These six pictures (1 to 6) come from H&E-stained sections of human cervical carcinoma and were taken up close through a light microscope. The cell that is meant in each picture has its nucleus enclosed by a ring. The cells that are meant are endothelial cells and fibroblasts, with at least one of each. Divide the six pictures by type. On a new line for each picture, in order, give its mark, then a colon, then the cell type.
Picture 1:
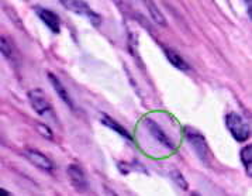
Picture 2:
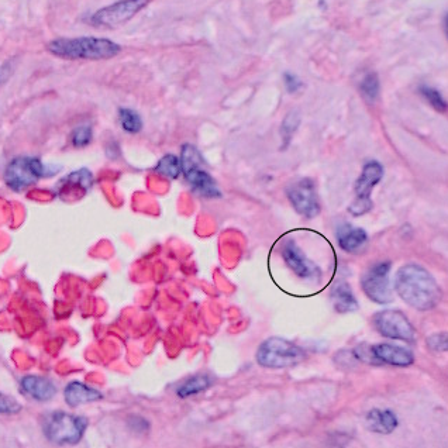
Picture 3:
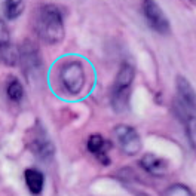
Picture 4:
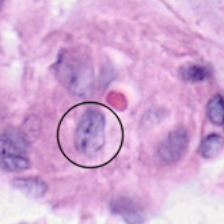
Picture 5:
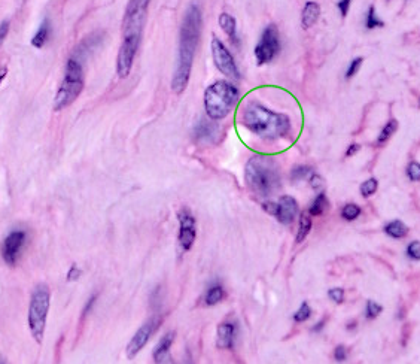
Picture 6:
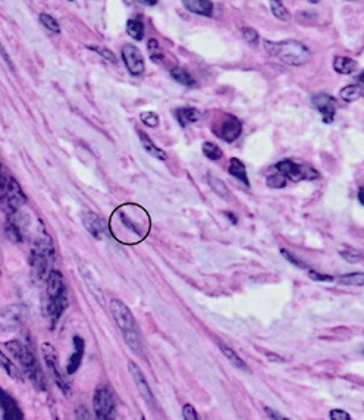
1: fibroblast
2: endothelial cell
3: endothelial cell
4: endothelial cell
5: endothelial cell
6: fibroblast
